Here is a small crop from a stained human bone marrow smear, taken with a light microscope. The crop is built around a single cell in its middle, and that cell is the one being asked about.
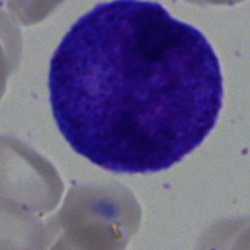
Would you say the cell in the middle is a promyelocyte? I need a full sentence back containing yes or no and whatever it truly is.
Yes, the middle cell here is a promyelocyte.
